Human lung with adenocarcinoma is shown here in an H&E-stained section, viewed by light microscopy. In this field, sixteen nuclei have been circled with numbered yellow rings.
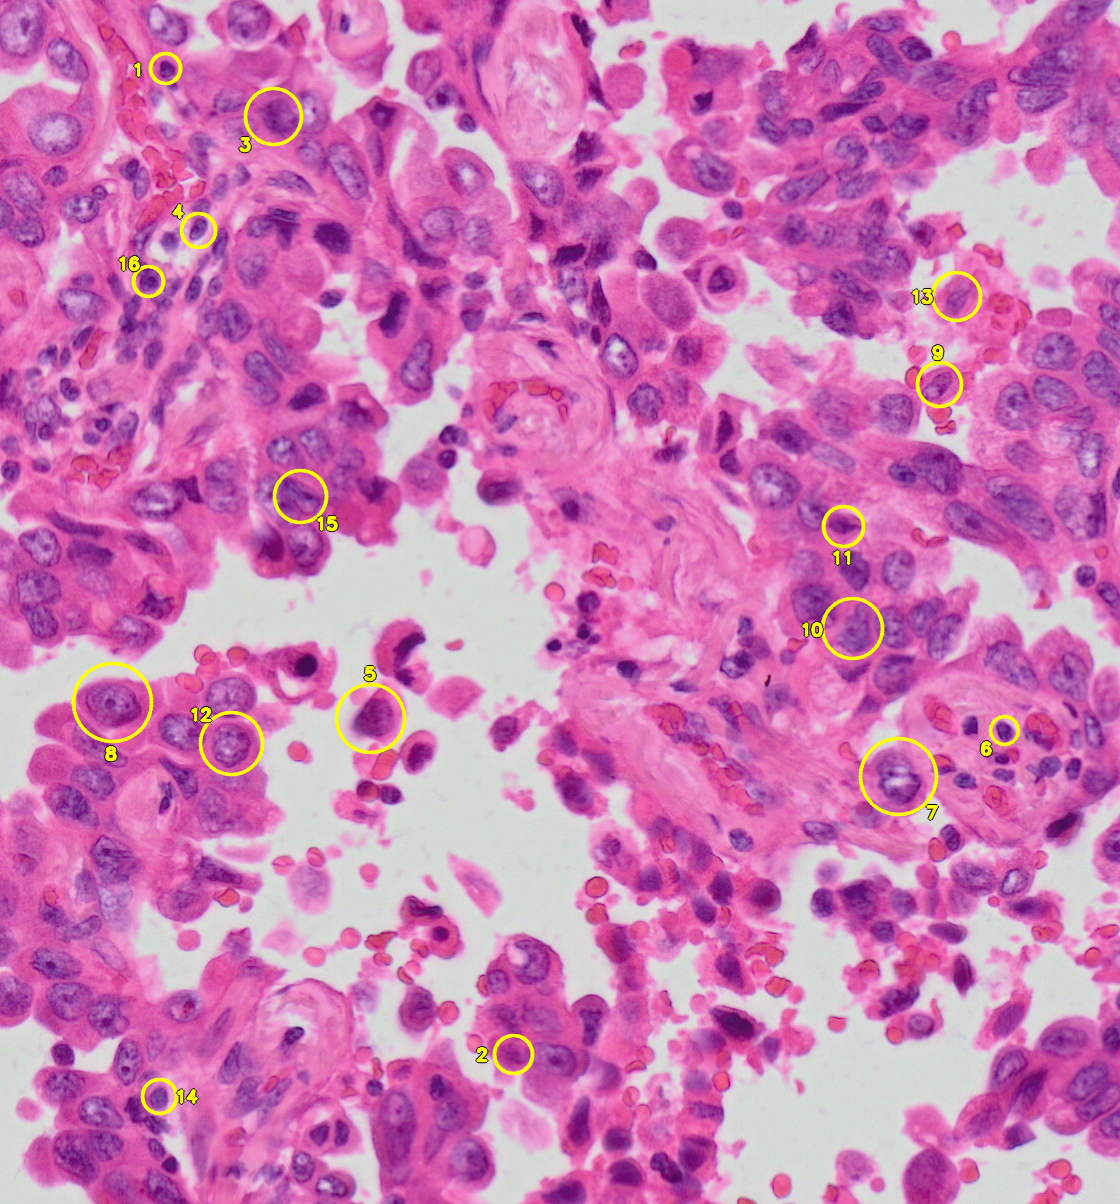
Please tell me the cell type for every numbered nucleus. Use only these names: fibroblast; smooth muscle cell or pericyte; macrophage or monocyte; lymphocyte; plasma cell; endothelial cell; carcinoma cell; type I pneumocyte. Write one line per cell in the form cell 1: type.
cell 1: lymphocyte
cell 2: carcinoma cell
cell 3: carcinoma cell
cell 4: lymphocyte
cell 5: carcinoma cell
cell 6: lymphocyte
cell 7: carcinoma cell
cell 8: carcinoma cell
cell 9: macrophage or monocyte
cell 10: carcinoma cell
cell 11: carcinoma cell
cell 12: carcinoma cell
cell 13: macrophage or monocyte
cell 14: lymphocyte
cell 15: carcinoma cell
cell 16: lymphocyte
